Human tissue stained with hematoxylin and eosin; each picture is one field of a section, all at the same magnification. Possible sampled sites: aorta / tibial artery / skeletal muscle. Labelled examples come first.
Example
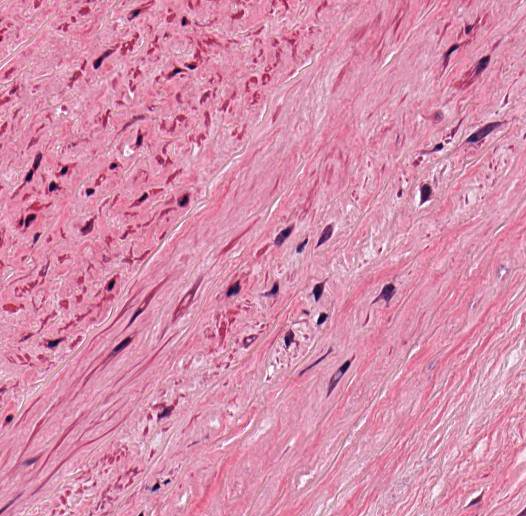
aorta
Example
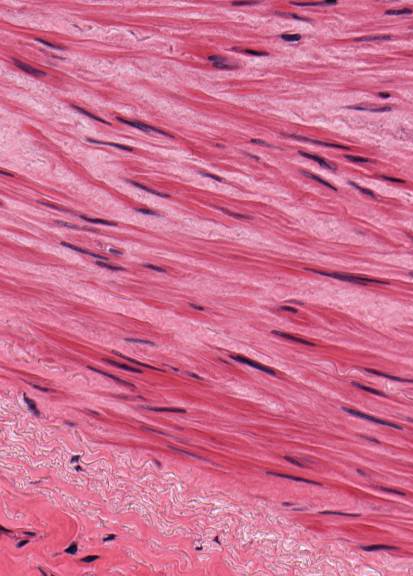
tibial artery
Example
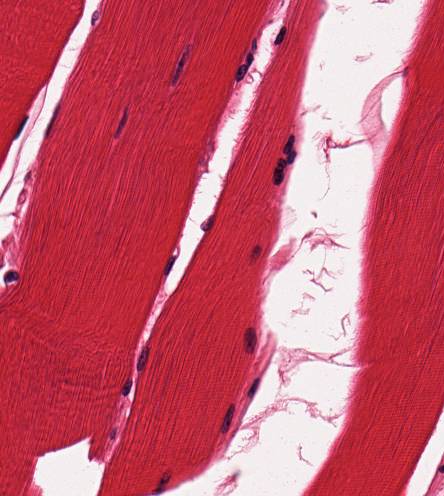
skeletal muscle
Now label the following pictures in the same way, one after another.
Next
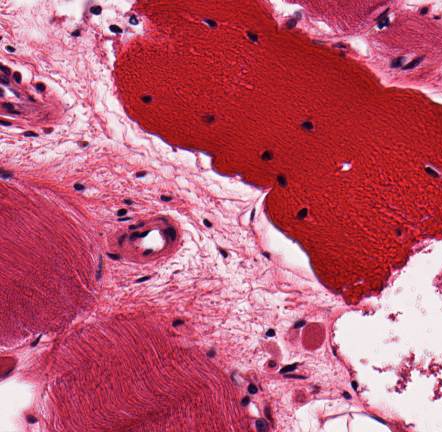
skeletal muscle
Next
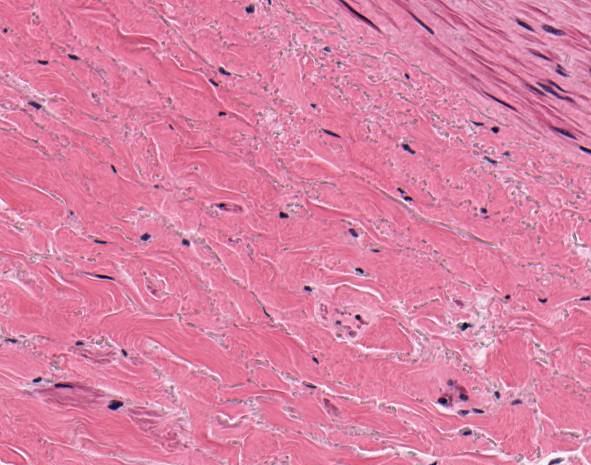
tibial artery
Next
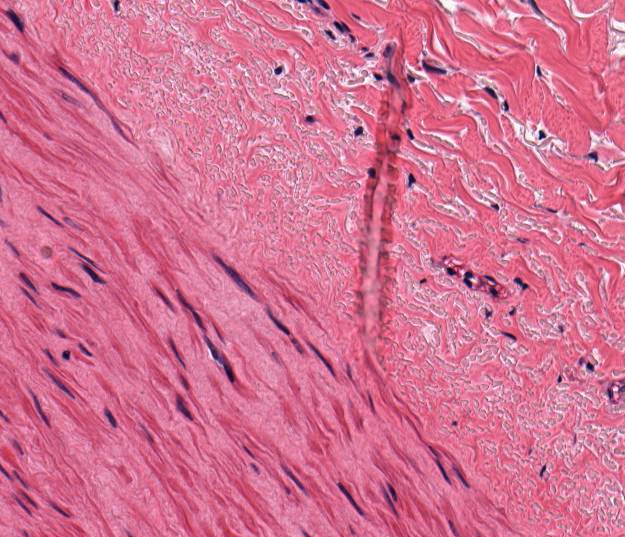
tibial artery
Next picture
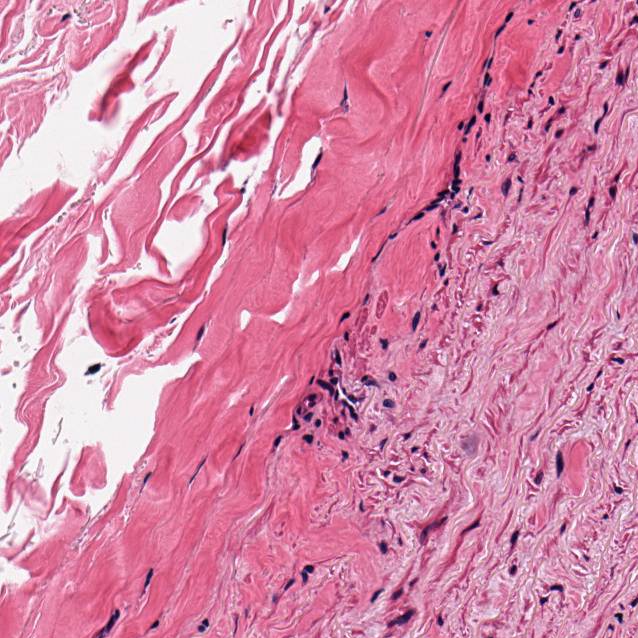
aorta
